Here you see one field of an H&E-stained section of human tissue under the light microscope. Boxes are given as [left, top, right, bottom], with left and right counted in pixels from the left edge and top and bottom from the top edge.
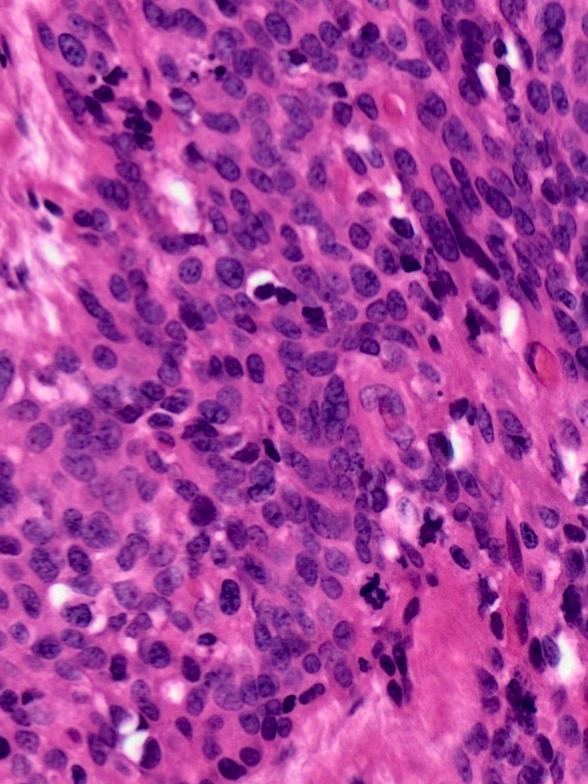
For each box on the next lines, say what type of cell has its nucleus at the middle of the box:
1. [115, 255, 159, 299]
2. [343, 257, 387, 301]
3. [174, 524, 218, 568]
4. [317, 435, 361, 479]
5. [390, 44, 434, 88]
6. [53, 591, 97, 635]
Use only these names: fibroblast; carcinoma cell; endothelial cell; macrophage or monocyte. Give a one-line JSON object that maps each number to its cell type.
{"1": "carcinoma cell", "2": "carcinoma cell", "3": "carcinoma cell", "4": "carcinoma cell", "5": "macrophage or monocyte", "6": "macrophage or monocyte"}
